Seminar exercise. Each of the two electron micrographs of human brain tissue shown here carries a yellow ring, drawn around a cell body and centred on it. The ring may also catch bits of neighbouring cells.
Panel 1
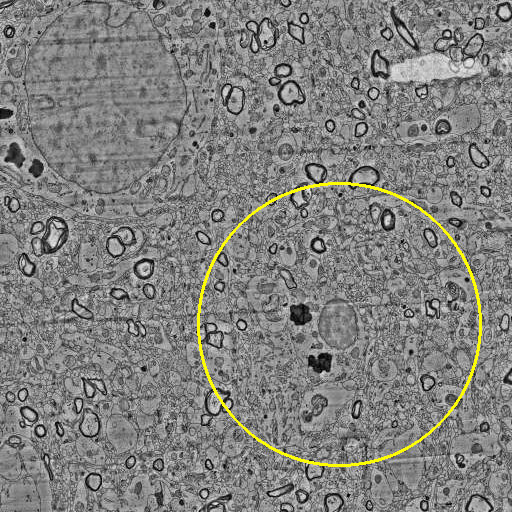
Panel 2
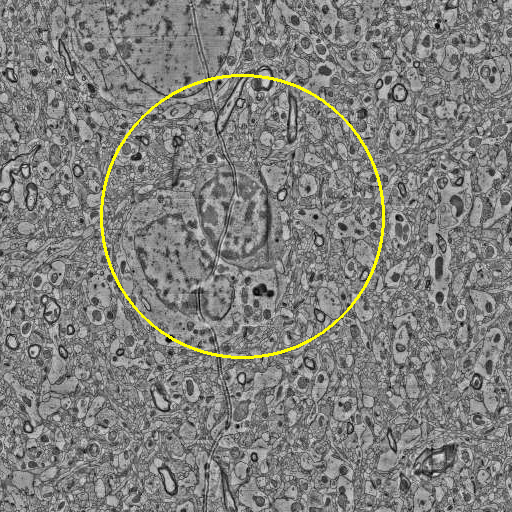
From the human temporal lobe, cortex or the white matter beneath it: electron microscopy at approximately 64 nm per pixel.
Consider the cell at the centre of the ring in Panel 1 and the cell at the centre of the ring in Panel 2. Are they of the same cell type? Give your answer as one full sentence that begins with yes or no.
Yes, both cells are of the same type.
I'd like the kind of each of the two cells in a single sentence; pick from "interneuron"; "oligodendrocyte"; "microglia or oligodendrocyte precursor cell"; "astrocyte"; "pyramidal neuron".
Each of the two cells is an oligodendrocyte.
